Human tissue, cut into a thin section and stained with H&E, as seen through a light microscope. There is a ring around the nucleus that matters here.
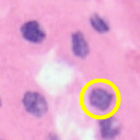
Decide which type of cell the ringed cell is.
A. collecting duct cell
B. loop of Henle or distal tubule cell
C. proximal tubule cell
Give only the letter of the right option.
B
